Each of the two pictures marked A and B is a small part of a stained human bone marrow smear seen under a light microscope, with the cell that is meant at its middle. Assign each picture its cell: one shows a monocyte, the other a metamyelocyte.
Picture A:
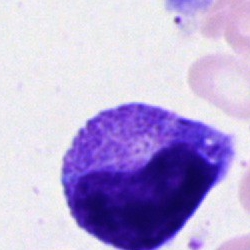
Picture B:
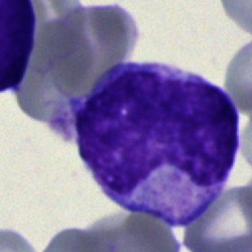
A: metamyelocyte
B: monocyte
